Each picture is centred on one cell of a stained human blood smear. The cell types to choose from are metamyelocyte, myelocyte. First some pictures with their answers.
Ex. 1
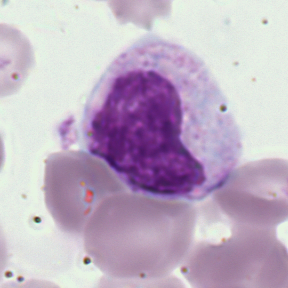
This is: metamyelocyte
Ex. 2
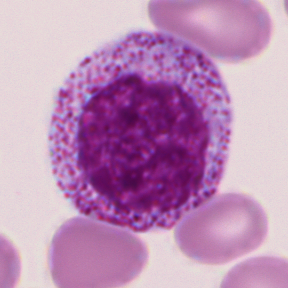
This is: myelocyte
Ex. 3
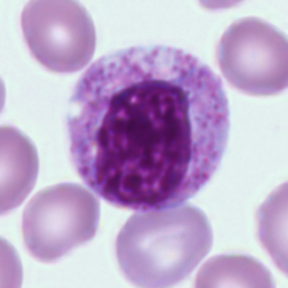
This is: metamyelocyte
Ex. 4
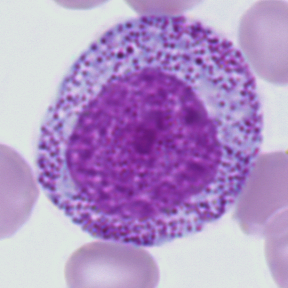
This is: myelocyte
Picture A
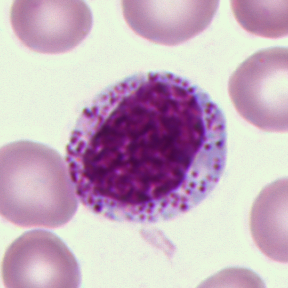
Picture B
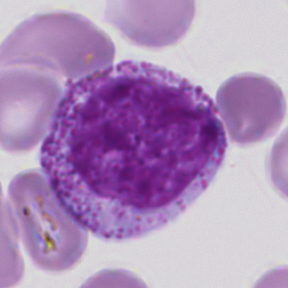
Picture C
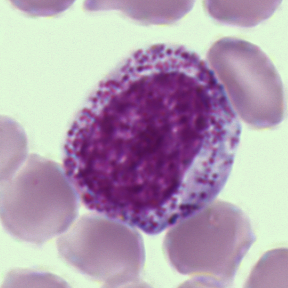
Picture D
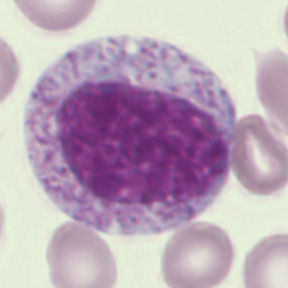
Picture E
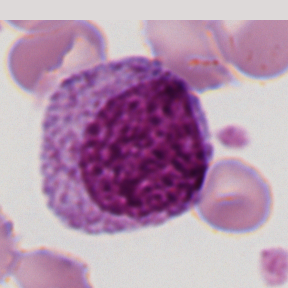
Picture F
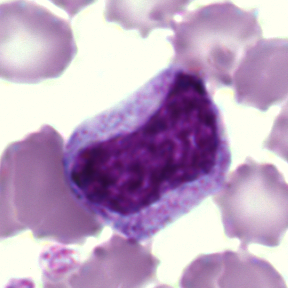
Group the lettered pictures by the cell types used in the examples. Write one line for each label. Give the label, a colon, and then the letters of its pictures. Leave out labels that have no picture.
metamyelocyte: A, F
myelocyte: B, C, D, E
